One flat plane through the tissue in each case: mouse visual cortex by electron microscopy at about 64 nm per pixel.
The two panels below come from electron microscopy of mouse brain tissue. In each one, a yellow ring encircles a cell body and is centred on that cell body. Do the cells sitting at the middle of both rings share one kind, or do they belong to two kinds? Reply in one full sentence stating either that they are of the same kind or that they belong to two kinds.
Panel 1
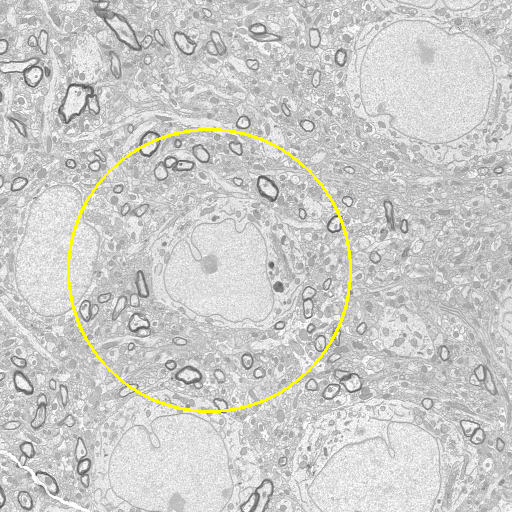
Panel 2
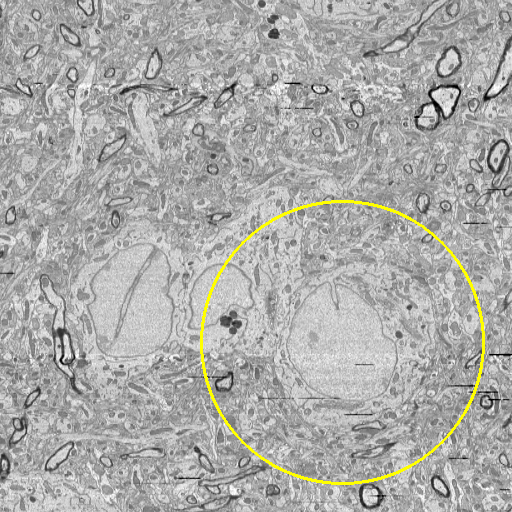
The cells at the centres of the two rings are of the same kind.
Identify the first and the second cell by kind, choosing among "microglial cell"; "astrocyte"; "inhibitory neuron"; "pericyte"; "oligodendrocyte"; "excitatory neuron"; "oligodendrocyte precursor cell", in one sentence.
The second cell is an excitatory neuron, just as the first is.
